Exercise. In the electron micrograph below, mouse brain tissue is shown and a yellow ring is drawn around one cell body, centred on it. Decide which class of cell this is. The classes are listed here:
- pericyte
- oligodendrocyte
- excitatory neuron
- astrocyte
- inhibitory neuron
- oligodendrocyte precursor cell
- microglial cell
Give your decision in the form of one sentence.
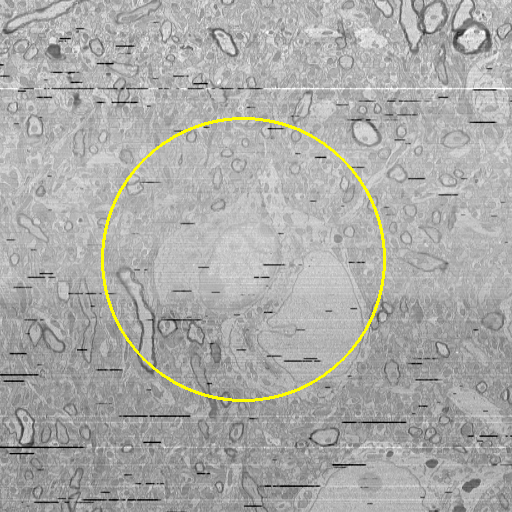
The cell body marked by the ring belongs to an oligodendrocyte.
